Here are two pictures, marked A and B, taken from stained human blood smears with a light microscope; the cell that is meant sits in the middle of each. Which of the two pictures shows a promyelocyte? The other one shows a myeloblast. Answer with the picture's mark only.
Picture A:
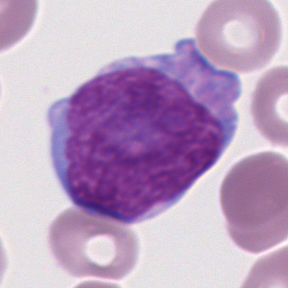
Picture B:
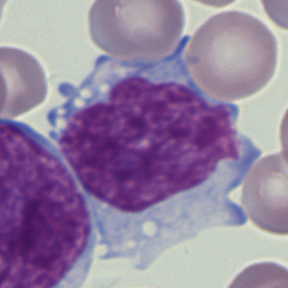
A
